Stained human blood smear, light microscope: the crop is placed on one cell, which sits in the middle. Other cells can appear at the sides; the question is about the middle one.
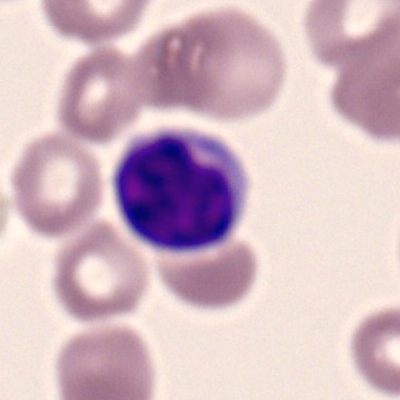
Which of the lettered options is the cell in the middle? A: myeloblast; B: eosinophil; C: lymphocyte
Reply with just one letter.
C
